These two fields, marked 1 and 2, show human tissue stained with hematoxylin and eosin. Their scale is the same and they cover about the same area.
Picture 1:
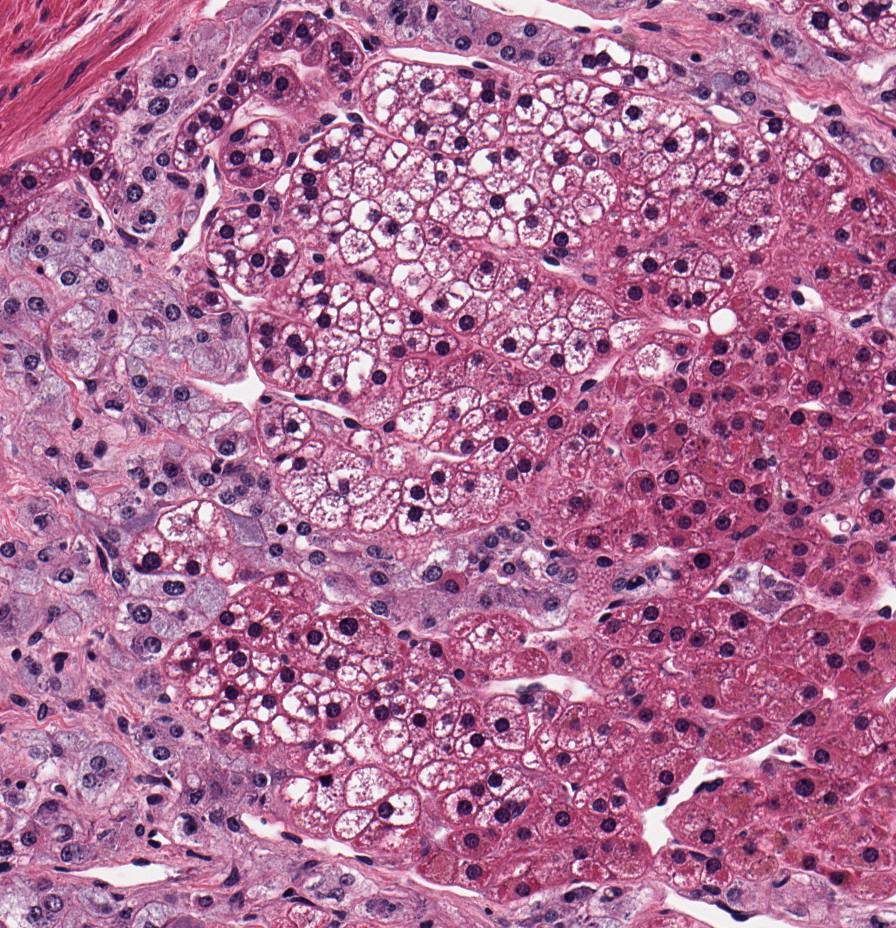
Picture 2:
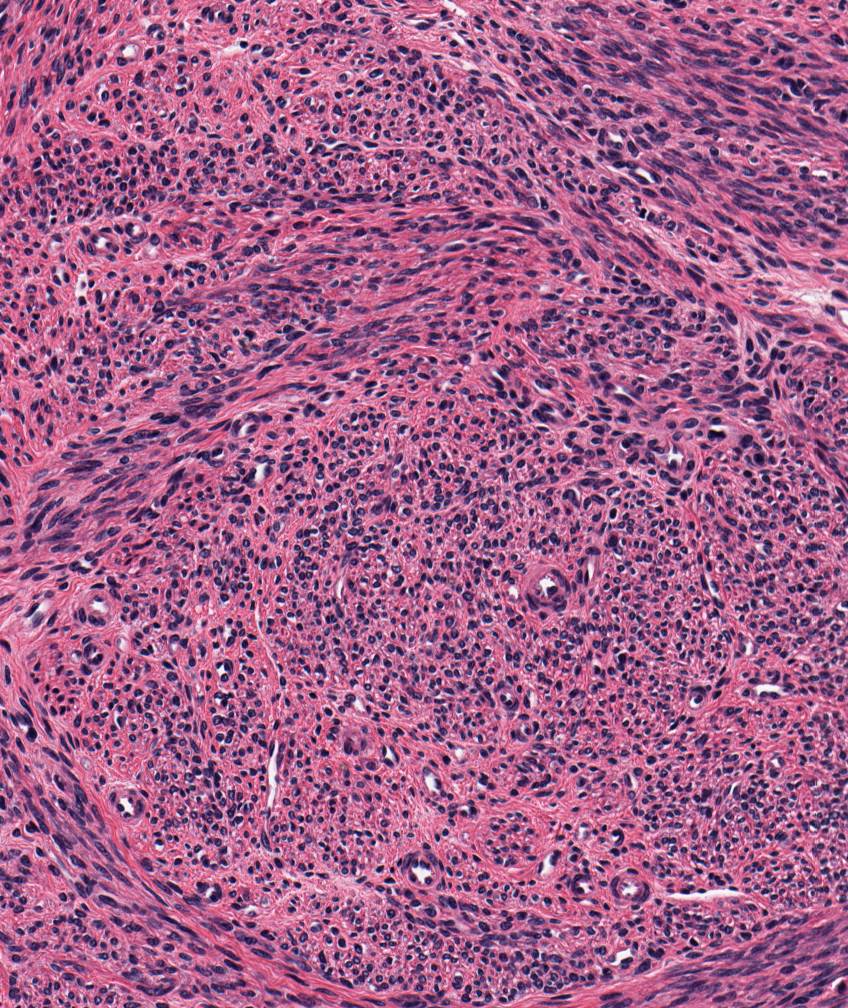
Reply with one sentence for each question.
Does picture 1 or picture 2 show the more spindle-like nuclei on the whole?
The nuclei are more elongated in picture 2.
